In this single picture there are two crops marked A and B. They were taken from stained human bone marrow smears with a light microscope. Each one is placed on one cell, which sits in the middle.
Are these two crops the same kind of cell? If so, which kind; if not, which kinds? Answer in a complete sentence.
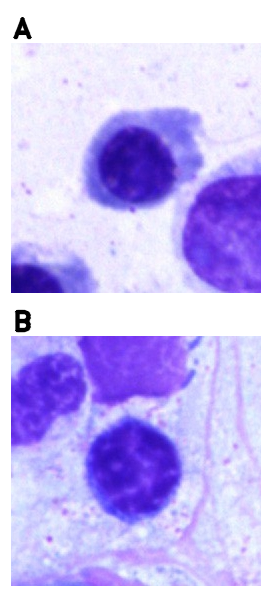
No, the central cell of crop A is an erythroblast; that of crop B is a lymphocyte.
